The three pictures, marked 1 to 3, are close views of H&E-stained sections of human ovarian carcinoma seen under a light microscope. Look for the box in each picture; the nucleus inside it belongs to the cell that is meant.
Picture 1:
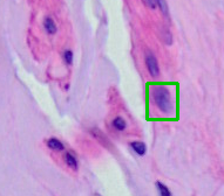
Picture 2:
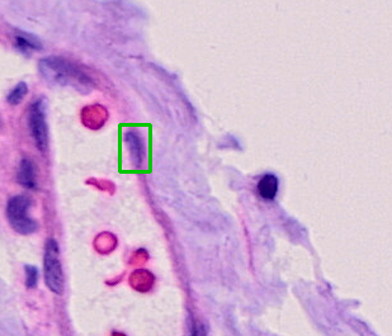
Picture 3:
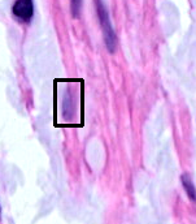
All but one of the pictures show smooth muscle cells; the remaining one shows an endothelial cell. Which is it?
2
